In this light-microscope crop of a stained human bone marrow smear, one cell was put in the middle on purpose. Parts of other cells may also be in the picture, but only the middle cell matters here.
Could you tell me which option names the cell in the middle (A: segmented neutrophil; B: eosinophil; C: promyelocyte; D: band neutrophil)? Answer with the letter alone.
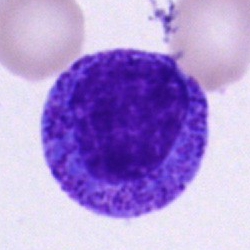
C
